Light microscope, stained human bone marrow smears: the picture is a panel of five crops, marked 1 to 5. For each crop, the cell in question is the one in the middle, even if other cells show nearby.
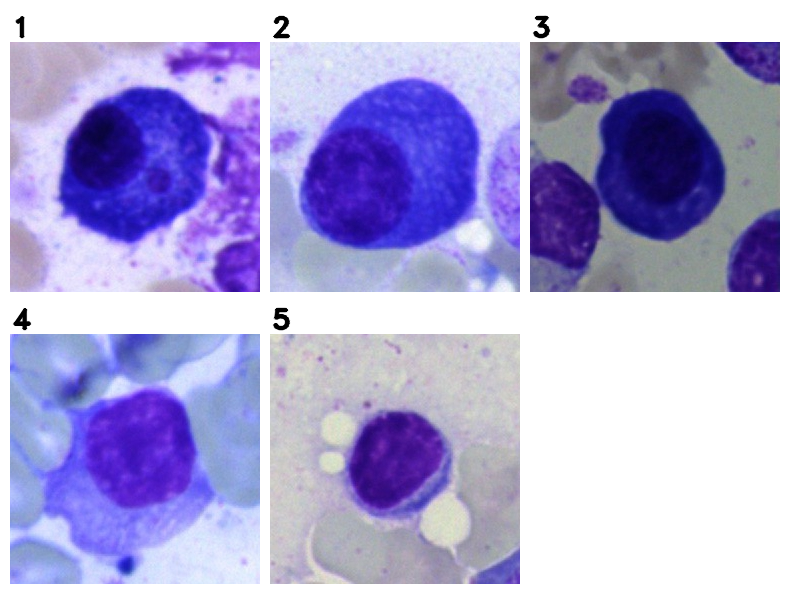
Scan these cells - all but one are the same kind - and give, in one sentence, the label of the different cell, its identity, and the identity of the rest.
Crop 5 is not like the others: it is a lymphocyte, and they are plasma cells.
